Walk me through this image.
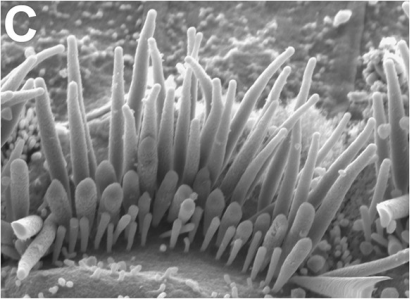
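The stereocilia are arranged in rows along a curved line across the cell top. The tallest stereocilia are long and slender, tapering toward narrow tips, and many lean in varying directions. Shorter stereocilia in front rows are stubby with rounded or bulbous tips. The surrounding cell surface bears small microvilli-like projections.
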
